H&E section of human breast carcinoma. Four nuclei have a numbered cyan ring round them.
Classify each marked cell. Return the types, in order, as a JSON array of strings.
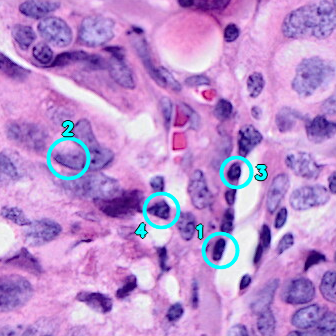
["lymphocyte", "carcinoma cell", "lymphocyte", "lymphocyte"]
